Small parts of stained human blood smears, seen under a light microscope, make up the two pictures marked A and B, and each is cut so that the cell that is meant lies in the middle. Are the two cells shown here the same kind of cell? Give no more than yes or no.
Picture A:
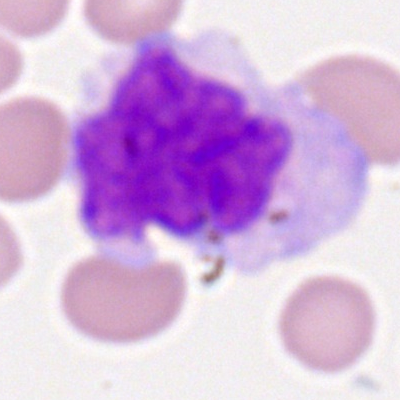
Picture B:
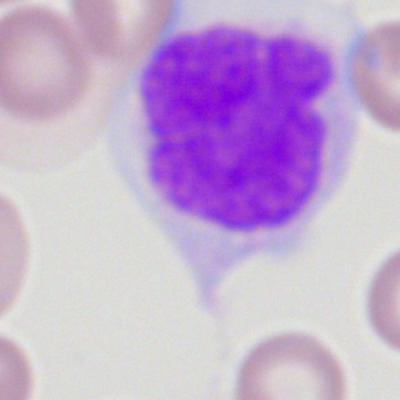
yes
